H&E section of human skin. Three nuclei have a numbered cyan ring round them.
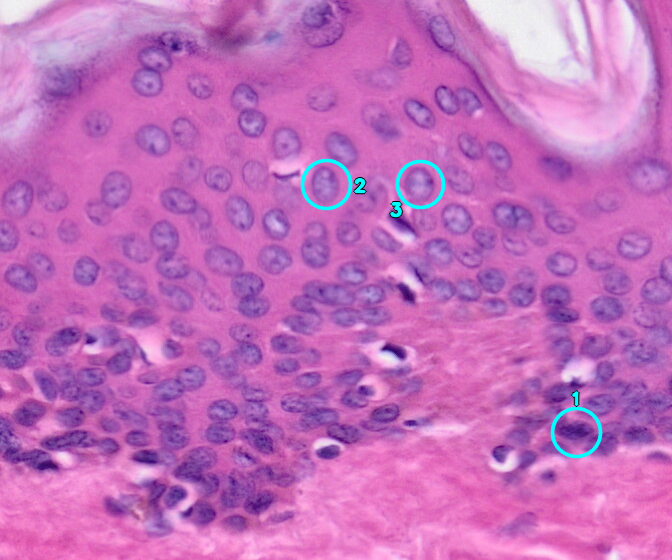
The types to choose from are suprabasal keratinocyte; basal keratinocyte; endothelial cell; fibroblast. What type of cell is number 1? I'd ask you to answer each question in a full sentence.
The one numbered 1 among the marked cells is a basal keratinocyte.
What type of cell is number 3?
The cell referenced by the number 3 is a suprabasal keratinocyte in this field.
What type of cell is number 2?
Marked with the number 2, this cell is a suprabasal keratinocyte.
